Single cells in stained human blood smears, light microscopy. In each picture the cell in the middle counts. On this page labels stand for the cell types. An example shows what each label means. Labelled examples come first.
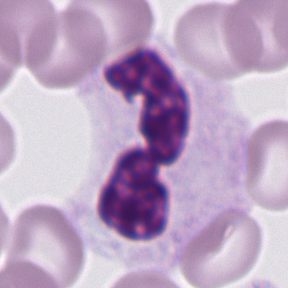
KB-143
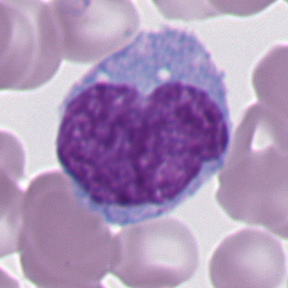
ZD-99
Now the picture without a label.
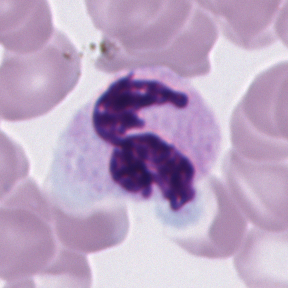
KB-143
